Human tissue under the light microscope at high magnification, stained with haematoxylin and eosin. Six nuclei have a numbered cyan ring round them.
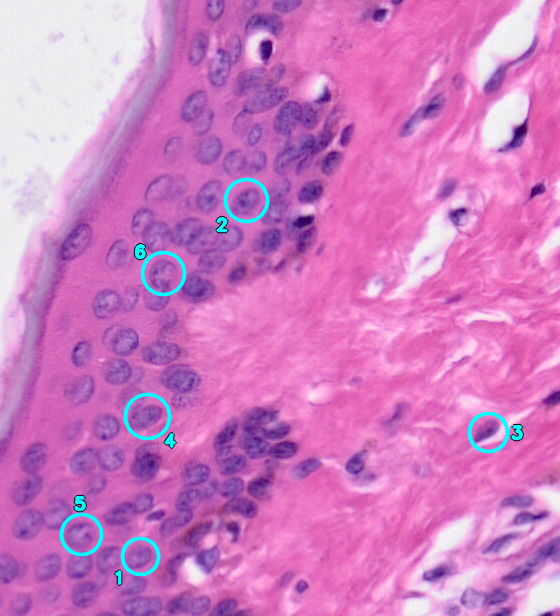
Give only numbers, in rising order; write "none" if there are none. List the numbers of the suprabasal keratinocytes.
1, 2, 5, 6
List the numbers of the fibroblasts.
3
